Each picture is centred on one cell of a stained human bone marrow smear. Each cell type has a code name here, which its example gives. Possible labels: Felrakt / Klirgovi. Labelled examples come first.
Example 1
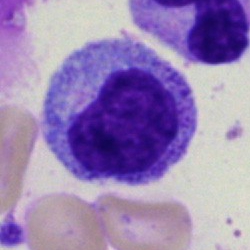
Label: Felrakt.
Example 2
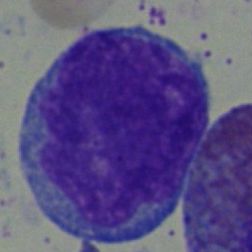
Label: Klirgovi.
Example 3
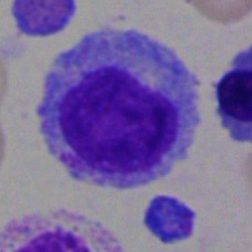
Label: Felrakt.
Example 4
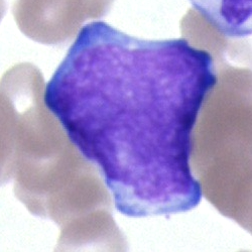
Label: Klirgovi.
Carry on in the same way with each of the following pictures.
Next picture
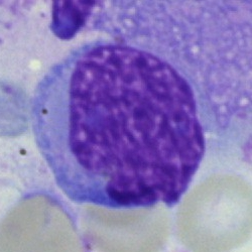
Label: Klirgovi.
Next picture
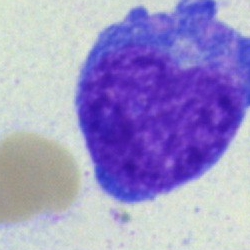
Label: Klirgovi.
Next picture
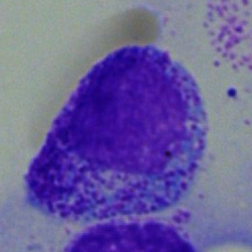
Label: Felrakt.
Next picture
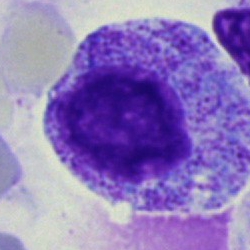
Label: Felrakt.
